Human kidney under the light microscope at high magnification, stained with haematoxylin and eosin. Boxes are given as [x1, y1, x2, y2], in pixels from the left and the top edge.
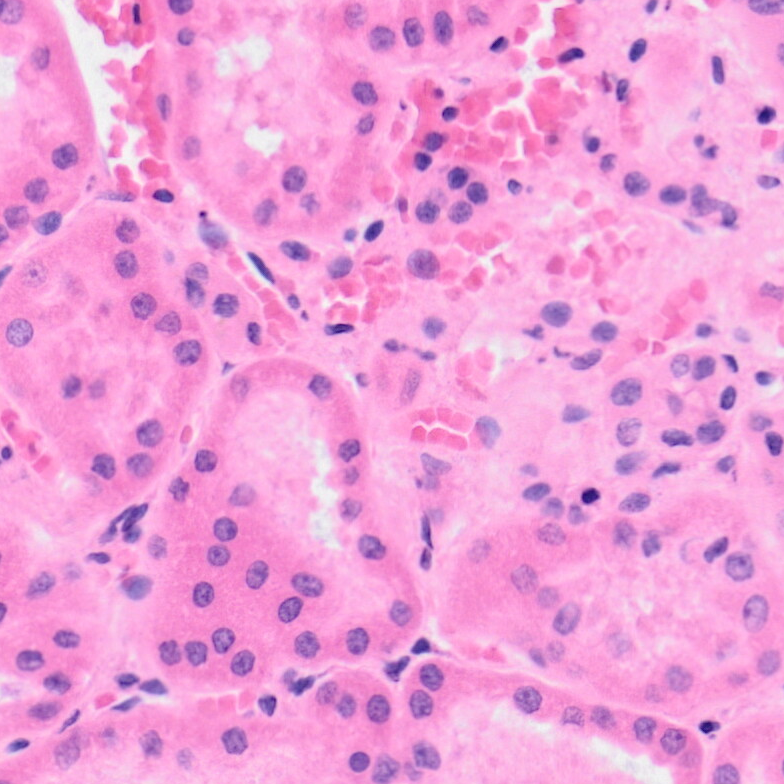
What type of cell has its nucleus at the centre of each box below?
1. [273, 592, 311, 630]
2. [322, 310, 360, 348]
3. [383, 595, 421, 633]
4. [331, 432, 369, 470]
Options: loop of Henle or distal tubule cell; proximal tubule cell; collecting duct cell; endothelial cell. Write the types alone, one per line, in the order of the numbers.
proximal tubule cell
endothelial cell
proximal tubule cell
proximal tubule cell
